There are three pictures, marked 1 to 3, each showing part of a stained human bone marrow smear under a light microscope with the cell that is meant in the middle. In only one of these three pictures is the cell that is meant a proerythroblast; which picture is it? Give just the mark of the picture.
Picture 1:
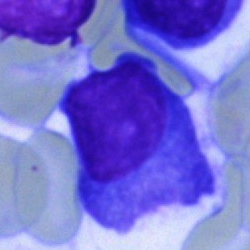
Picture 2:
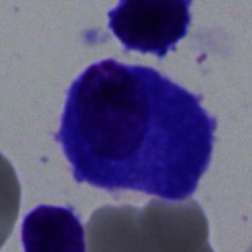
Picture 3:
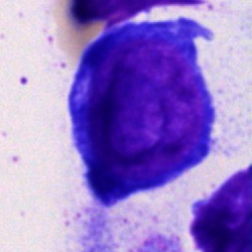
3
